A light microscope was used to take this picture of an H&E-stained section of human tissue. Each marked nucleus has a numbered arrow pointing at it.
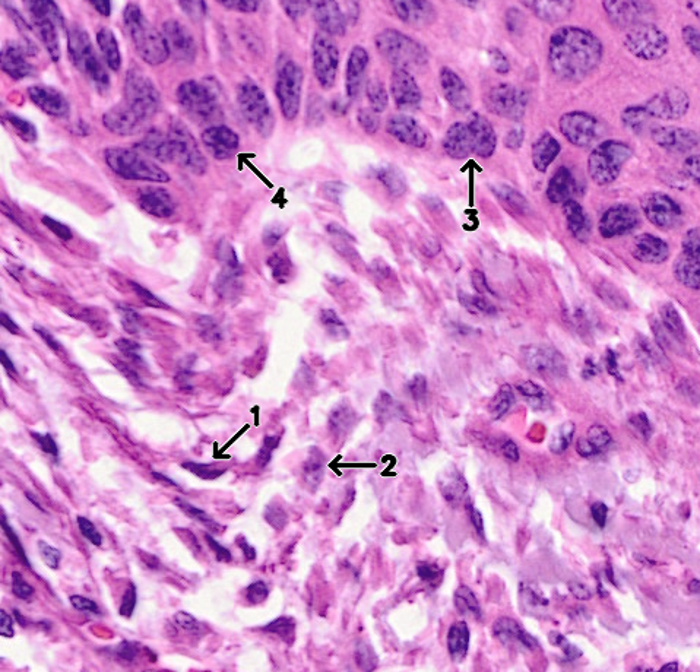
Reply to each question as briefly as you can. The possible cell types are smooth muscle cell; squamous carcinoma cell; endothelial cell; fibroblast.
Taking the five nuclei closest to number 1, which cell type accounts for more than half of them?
fibroblast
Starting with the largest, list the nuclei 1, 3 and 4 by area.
3, 4, 1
